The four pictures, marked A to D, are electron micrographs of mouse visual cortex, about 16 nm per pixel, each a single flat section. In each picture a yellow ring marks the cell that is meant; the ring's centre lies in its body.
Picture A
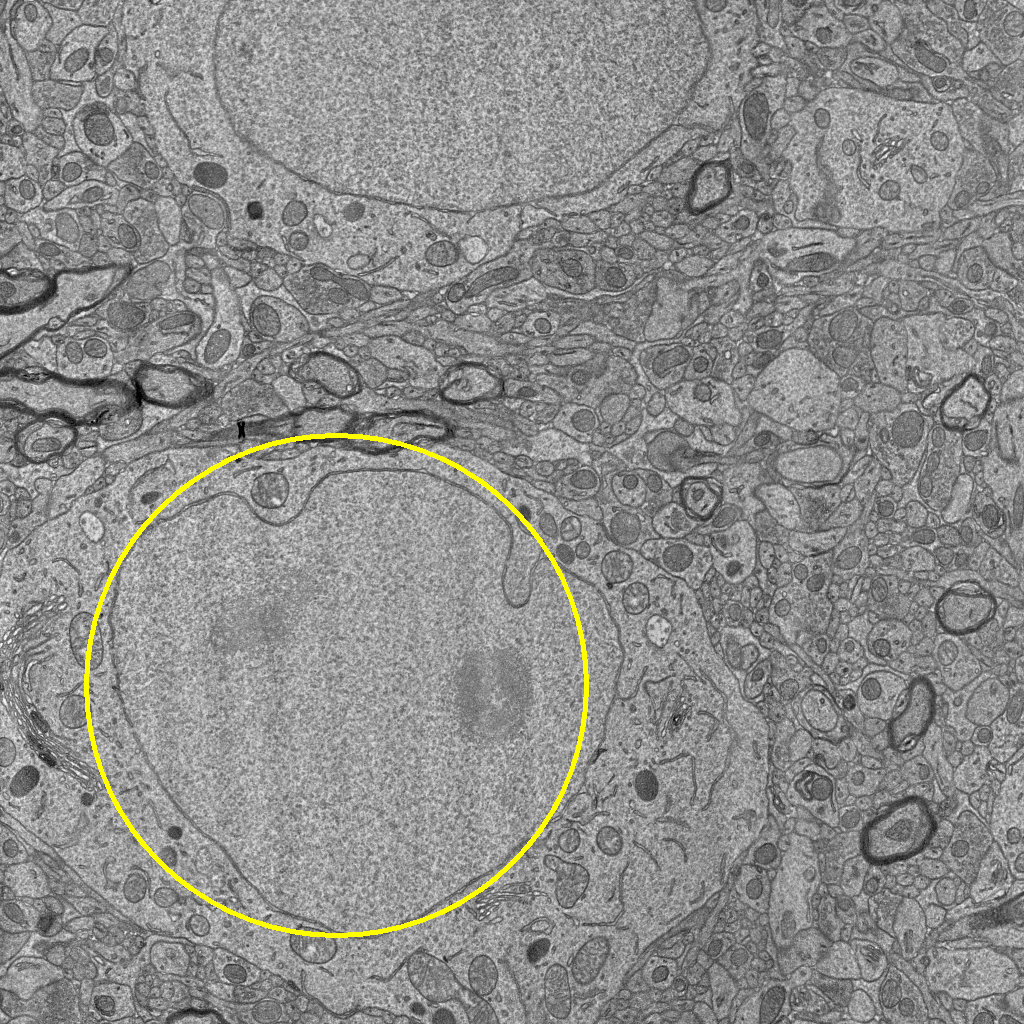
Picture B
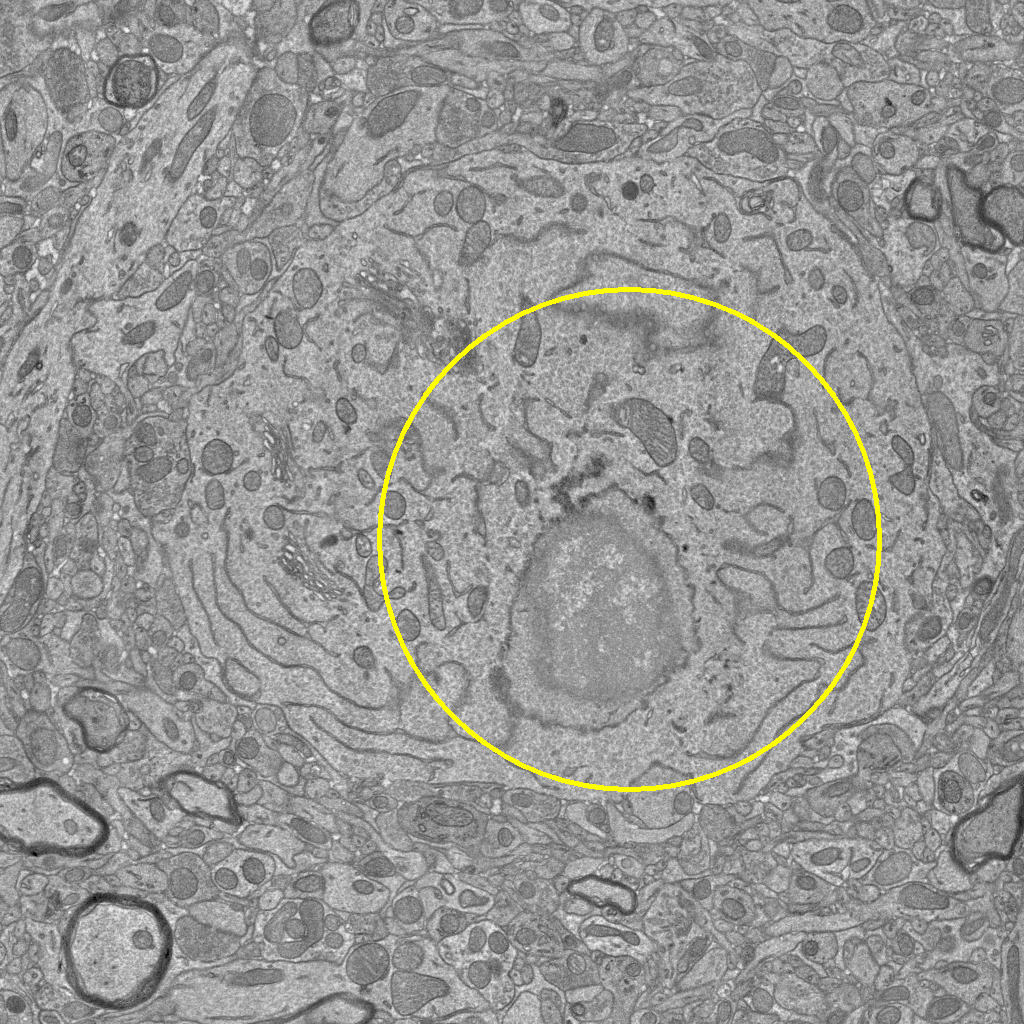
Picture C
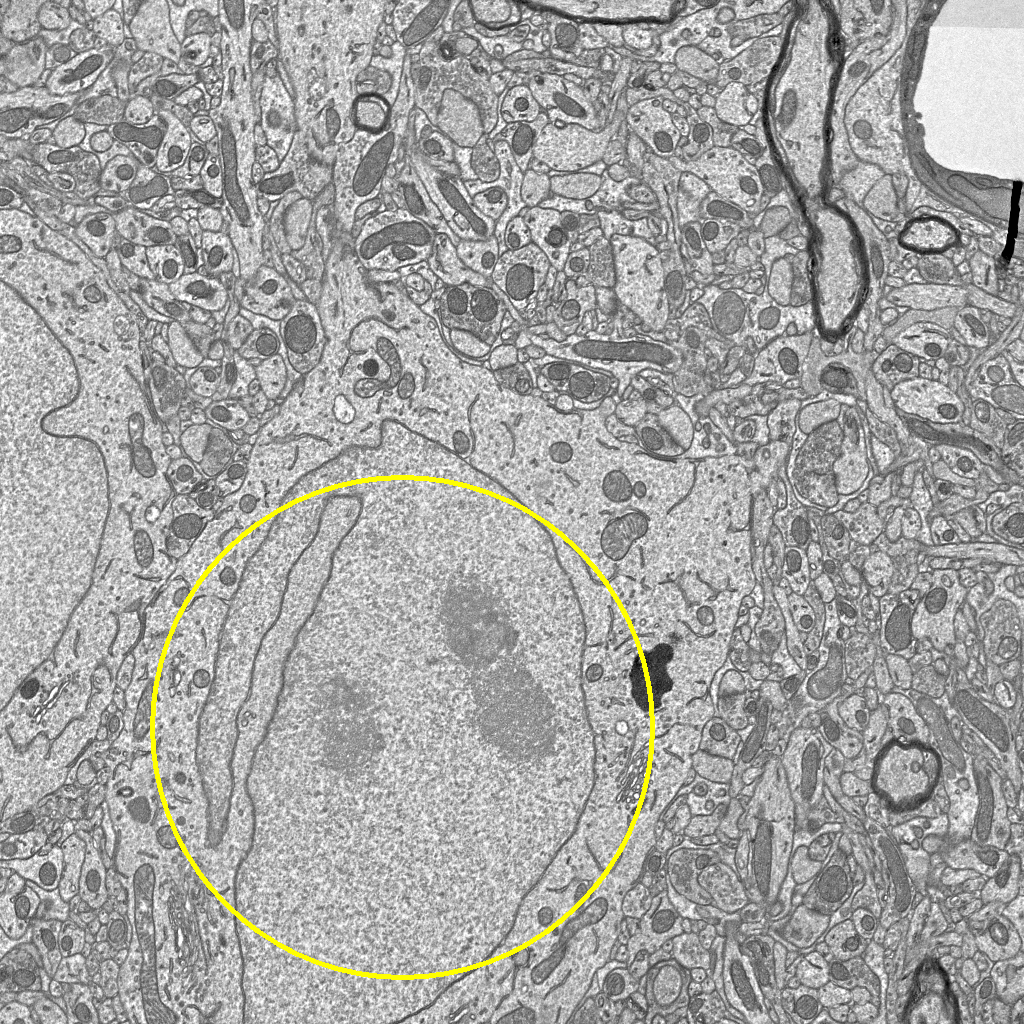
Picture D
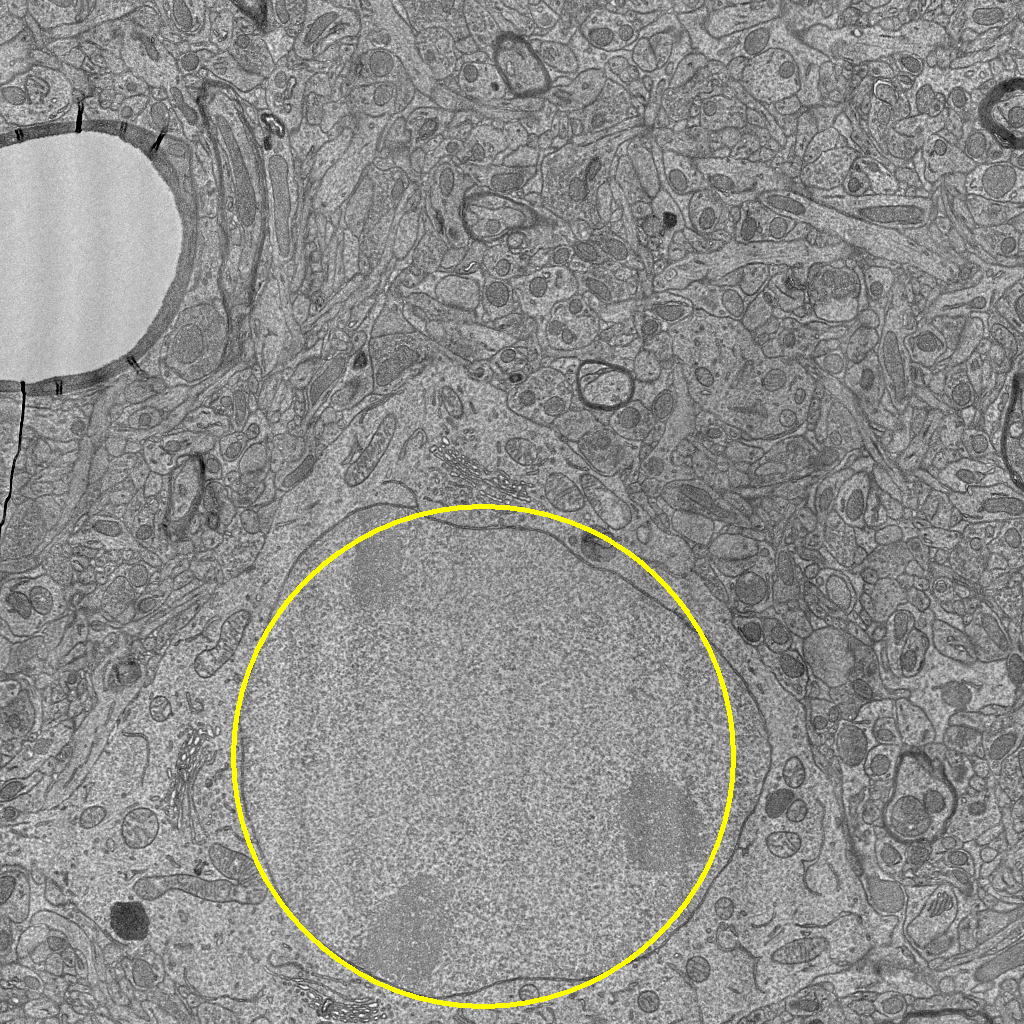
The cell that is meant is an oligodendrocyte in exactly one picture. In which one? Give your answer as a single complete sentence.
The picture with the oligodendrocyte is B.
